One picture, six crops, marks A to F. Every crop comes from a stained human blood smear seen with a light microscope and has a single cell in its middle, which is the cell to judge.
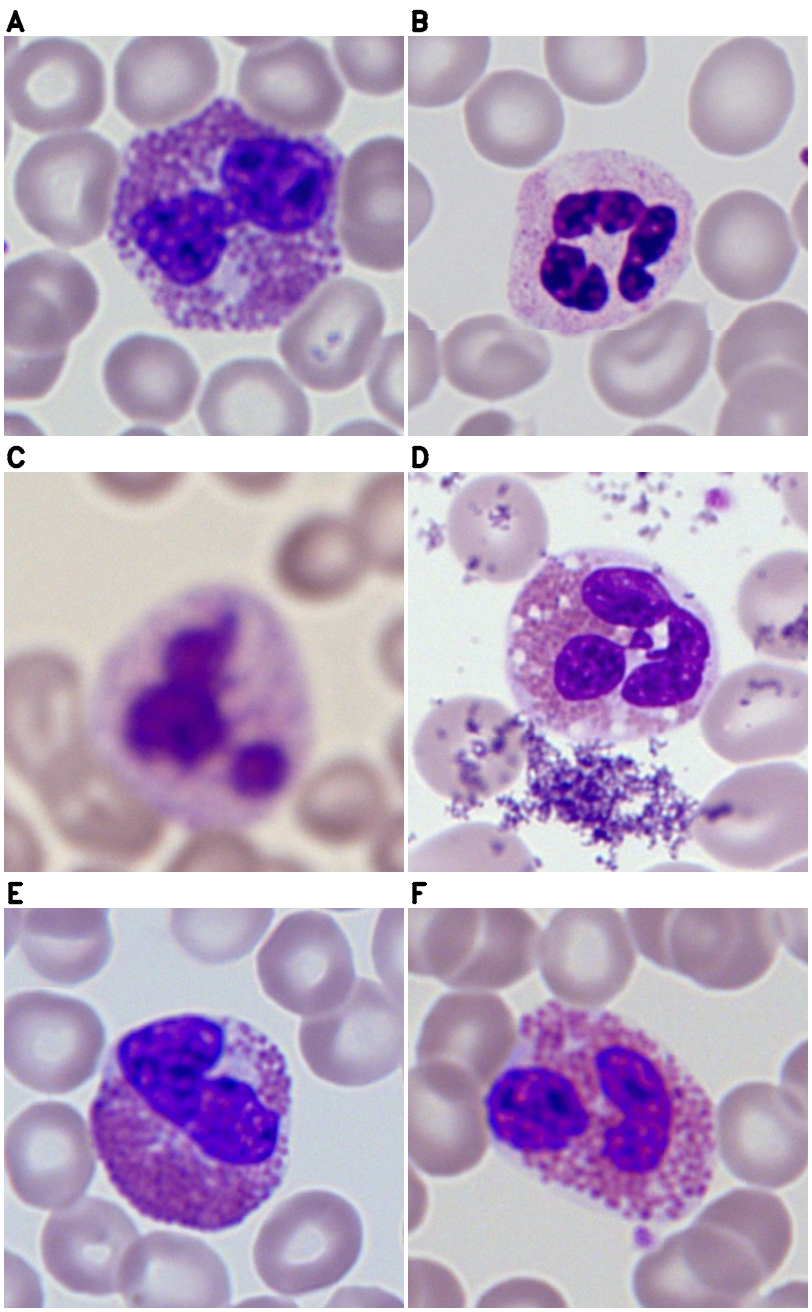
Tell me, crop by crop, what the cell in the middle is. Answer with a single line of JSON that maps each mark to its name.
{"A": "eosinophil", "B": "segmented neutrophil", "C": "segmented neutrophil", "D": "eosinophil", "E": "eosinophil", "F": "eosinophil"}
